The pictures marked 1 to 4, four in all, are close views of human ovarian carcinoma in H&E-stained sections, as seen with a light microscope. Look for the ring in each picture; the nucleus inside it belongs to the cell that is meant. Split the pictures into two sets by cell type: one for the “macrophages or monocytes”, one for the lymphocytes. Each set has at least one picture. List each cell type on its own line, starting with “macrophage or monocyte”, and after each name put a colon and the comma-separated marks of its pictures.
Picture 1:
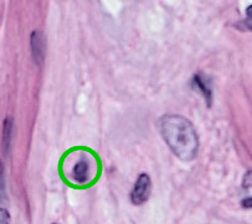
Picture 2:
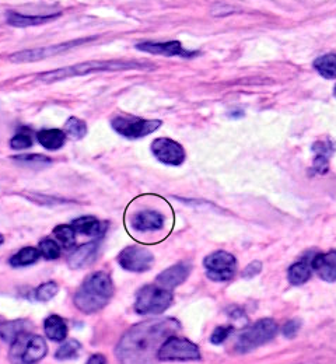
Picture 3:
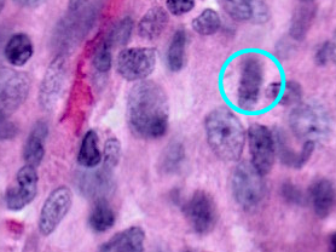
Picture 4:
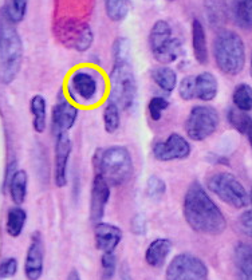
macrophage or monocyte: 3
lymphocyte: 1, 2, 4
